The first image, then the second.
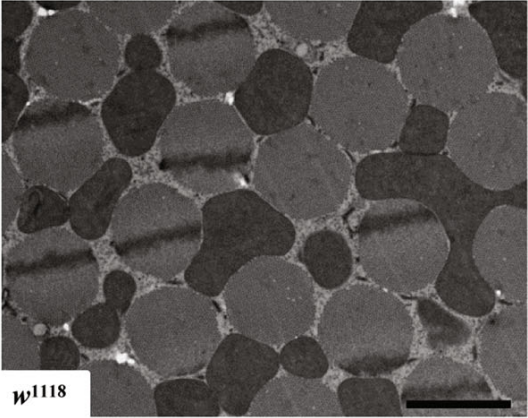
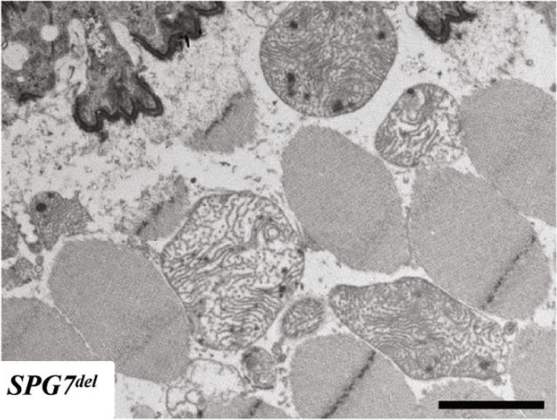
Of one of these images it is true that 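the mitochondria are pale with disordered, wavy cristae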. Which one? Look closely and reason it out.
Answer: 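The second image. Second image: mitochondria are pale with swirling, irregular inner membranes and small dark spots. First image: mitochondria are uniformly dark and densely packed between the myofibrils.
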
